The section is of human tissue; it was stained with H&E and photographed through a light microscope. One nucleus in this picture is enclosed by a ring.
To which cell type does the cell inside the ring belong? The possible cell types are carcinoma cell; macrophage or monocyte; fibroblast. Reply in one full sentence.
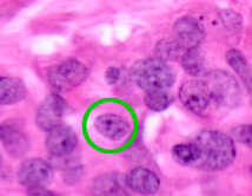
Speaking plainly, the cell inside the ring is nothing other than a macrophage or monocyte.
